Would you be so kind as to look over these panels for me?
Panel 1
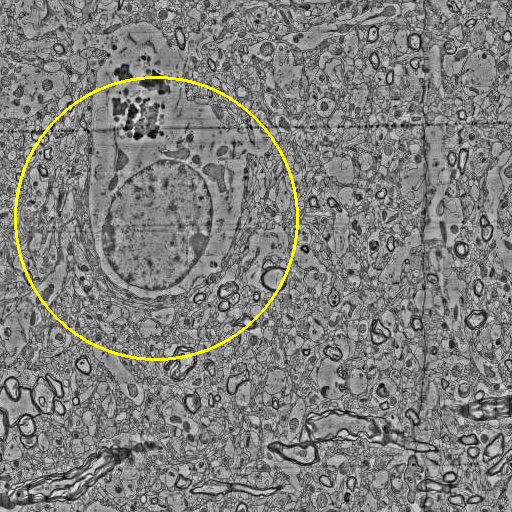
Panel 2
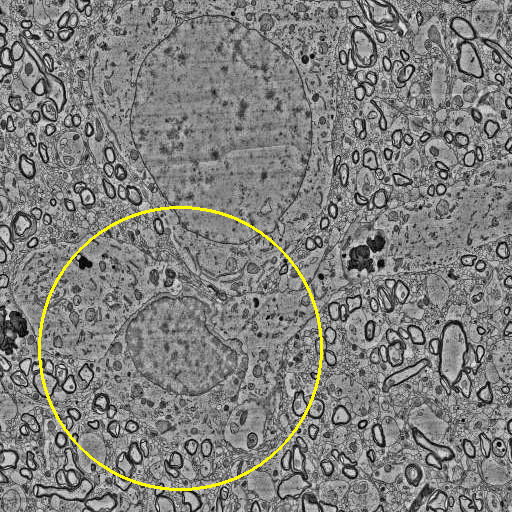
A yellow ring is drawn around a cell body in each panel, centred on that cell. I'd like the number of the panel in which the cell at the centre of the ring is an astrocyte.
1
